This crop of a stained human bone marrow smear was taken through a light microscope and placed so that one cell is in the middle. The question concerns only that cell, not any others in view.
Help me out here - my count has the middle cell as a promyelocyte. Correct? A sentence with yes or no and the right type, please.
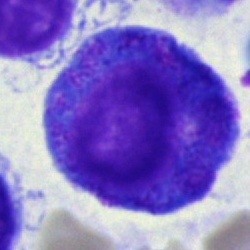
Yes, the cell in the middle has the identity of a promyelocyte.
